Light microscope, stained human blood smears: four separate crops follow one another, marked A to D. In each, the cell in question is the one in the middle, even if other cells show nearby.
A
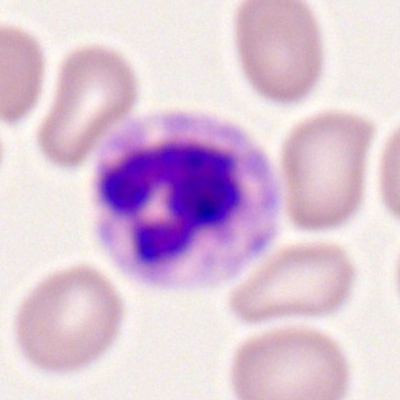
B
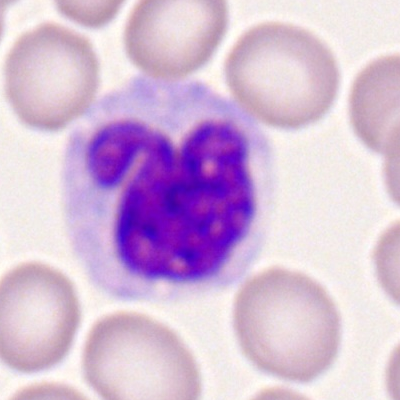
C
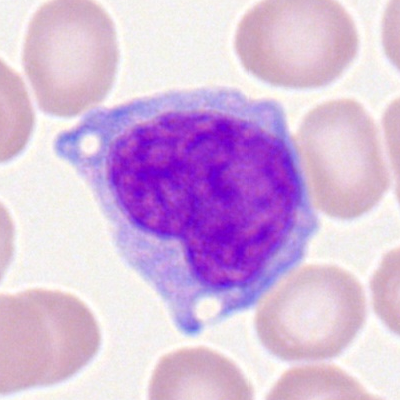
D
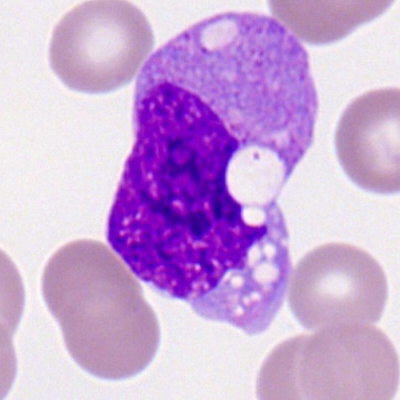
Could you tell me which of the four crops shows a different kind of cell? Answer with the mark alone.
A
